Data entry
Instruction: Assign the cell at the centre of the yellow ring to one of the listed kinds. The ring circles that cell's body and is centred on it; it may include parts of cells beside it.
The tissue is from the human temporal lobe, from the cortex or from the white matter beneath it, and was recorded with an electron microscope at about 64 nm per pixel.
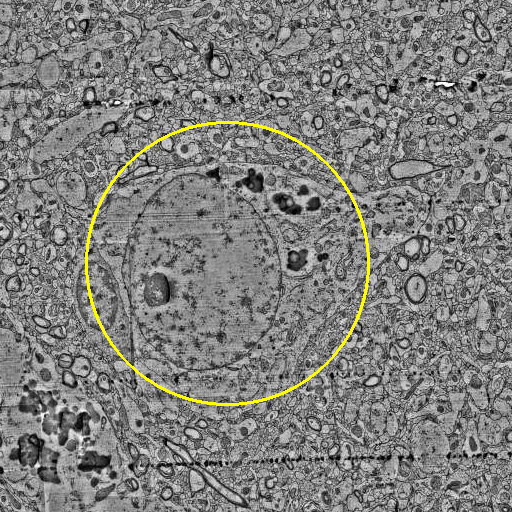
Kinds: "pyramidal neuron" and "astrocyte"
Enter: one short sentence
The centre of the ring falls on a pyramidal neuron.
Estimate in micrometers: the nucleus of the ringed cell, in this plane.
The ringed cell's nucleus measures approximately 13 by 10 micrometres in this plane.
